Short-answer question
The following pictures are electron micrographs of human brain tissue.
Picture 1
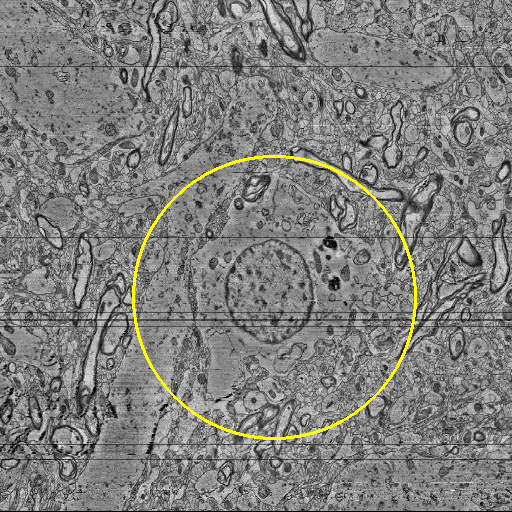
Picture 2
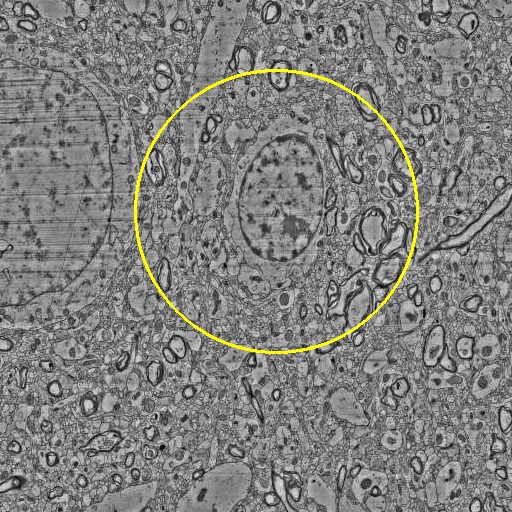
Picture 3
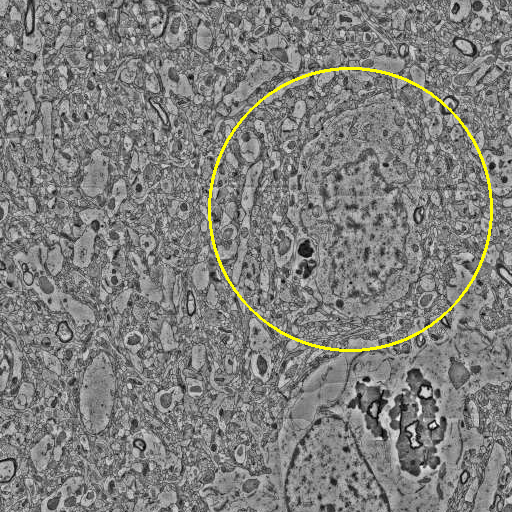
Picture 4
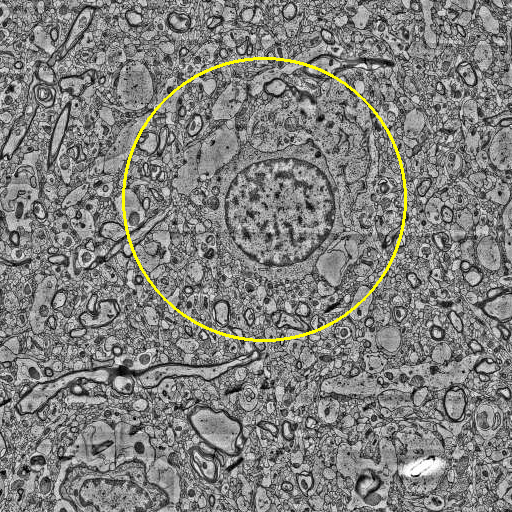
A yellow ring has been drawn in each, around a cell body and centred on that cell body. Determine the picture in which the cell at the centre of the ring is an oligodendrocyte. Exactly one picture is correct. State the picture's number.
4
